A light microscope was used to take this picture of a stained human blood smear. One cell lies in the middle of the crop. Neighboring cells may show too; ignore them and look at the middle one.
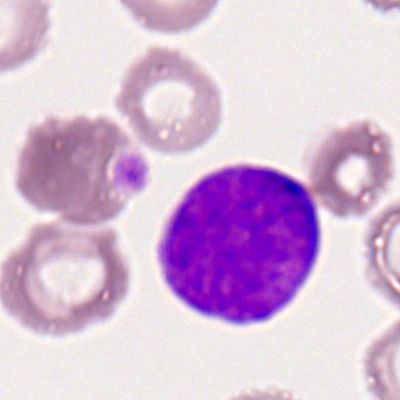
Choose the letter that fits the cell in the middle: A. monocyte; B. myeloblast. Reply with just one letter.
B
